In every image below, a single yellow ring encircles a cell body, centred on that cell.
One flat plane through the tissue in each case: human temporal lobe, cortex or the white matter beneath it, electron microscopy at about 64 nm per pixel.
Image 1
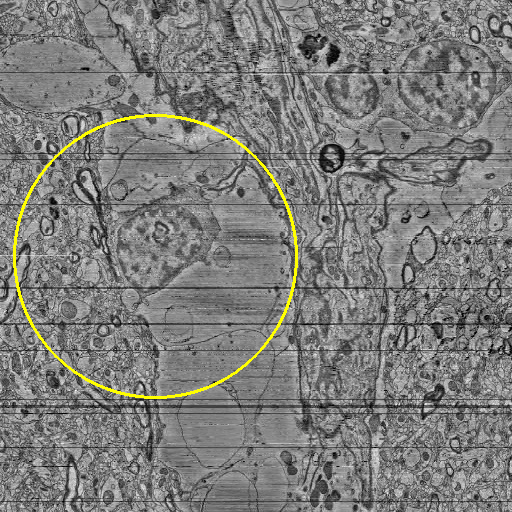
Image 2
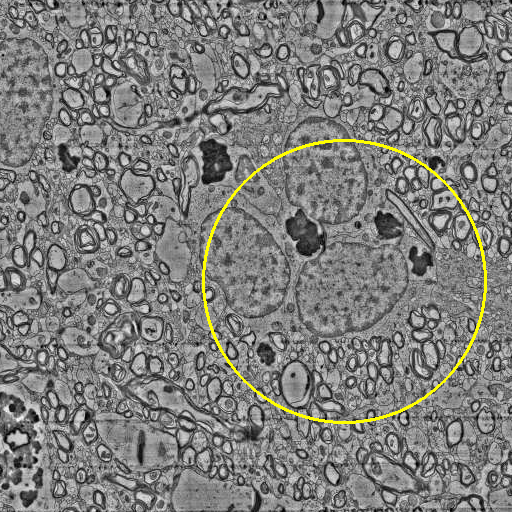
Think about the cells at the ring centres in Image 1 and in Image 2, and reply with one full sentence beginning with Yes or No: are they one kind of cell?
Yes, the cells centred in the rings of Image 1 and Image 2 are one kind of cell.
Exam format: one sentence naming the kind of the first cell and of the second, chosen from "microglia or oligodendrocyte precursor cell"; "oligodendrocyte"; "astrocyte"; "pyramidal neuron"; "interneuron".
The ring centre holds an oligodendrocyte in each of the two pictures.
